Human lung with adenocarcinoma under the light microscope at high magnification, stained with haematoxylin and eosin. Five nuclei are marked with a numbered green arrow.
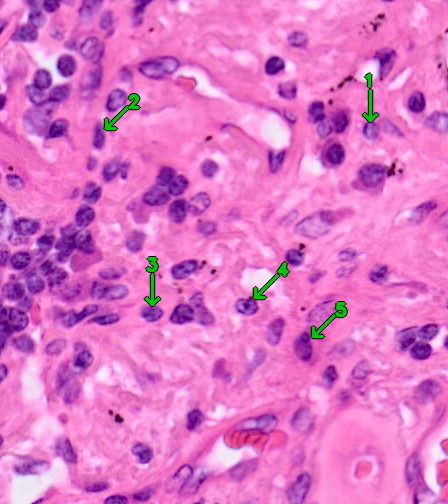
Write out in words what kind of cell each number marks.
Cell 1 is a mast cell, cell 2 is a lymphocyte, cell 3 is a lymphocyte, cell 4 is a lymphocyte and cell 5 is a plasma cell.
